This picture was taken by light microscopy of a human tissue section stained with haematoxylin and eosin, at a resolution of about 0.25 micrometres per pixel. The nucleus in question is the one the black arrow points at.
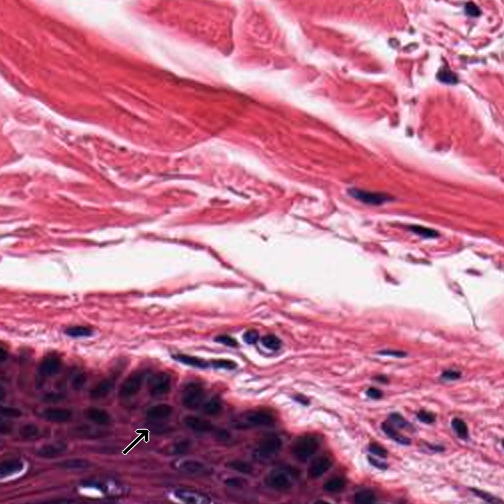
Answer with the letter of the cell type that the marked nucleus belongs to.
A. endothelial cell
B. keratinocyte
B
